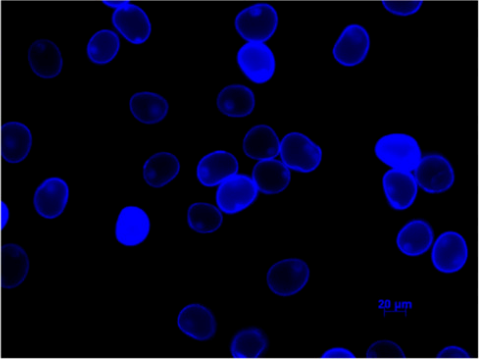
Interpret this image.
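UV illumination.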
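Where a nucleus is seen it is a single small blue spot, usually near the cell edge. A few cells glow evenly and brightly throughout.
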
